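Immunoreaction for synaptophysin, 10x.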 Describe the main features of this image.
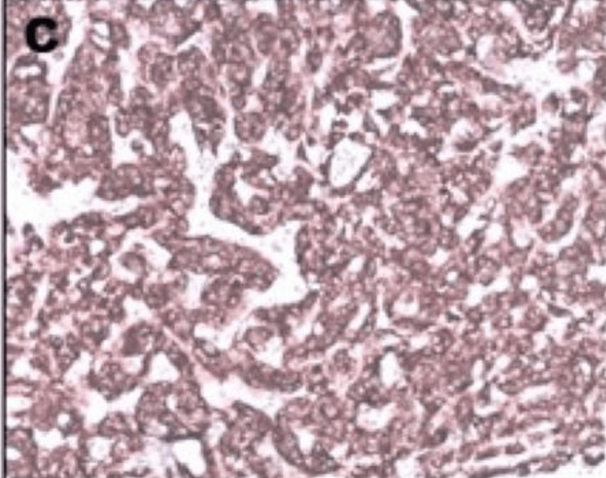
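Neoplastic cells in closely packed cords and nests show diffuse strong brown staining of their cytoplasm. The narrow spaces and thin stroma between the cords remain pale.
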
